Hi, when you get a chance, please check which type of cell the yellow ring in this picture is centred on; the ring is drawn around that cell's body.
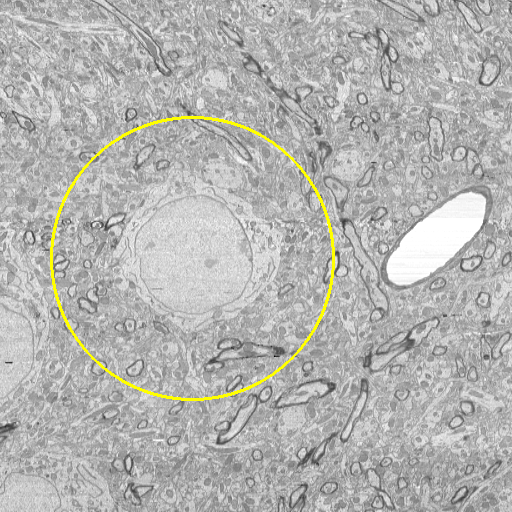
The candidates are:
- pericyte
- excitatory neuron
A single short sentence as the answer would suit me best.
The ring is drawn around the body of an excitatory neuron.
